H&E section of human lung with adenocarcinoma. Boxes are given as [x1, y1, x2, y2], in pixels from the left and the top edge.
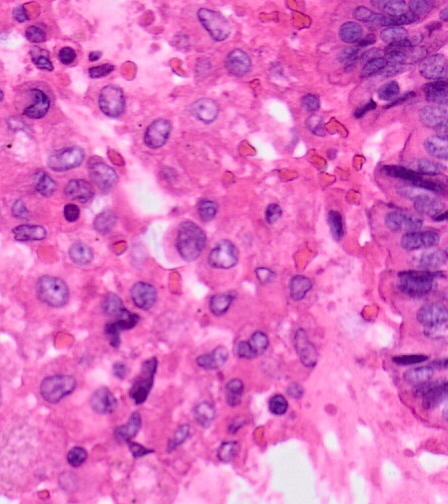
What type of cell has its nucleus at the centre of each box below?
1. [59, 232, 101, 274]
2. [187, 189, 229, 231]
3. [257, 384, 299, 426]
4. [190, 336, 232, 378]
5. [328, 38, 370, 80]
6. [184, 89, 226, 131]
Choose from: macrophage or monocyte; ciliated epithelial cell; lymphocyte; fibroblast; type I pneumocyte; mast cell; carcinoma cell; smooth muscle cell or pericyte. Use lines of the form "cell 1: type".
cell 1: macrophage or monocyte
cell 2: macrophage or monocyte
cell 3: lymphocyte
cell 4: macrophage or monocyte
cell 5: ciliated epithelial cell
cell 6: macrophage or monocyte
